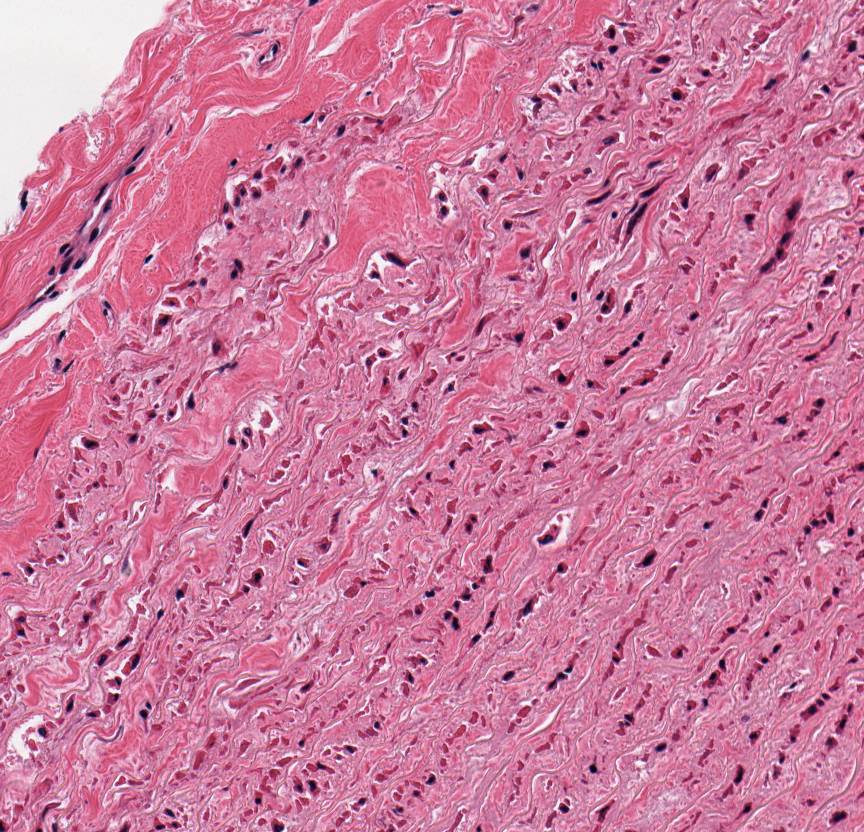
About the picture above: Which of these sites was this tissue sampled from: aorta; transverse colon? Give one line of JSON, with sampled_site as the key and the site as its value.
{"sampled_site": "aorta"}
